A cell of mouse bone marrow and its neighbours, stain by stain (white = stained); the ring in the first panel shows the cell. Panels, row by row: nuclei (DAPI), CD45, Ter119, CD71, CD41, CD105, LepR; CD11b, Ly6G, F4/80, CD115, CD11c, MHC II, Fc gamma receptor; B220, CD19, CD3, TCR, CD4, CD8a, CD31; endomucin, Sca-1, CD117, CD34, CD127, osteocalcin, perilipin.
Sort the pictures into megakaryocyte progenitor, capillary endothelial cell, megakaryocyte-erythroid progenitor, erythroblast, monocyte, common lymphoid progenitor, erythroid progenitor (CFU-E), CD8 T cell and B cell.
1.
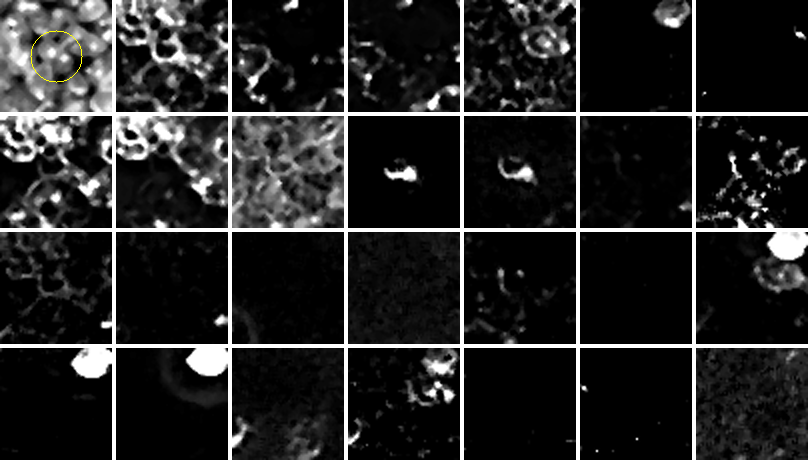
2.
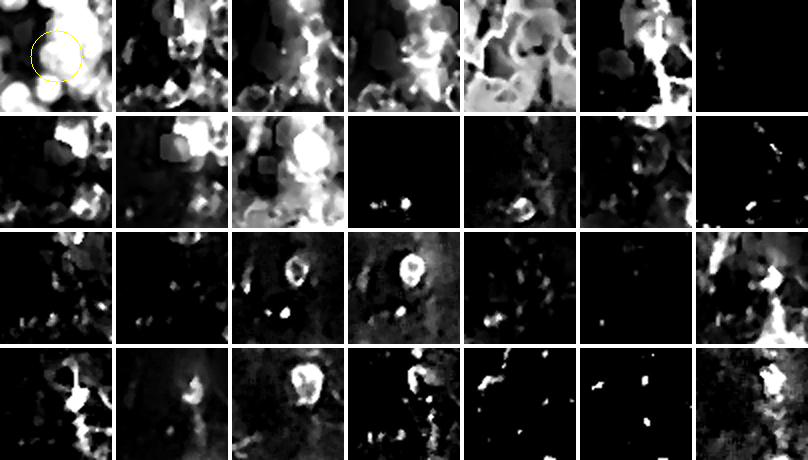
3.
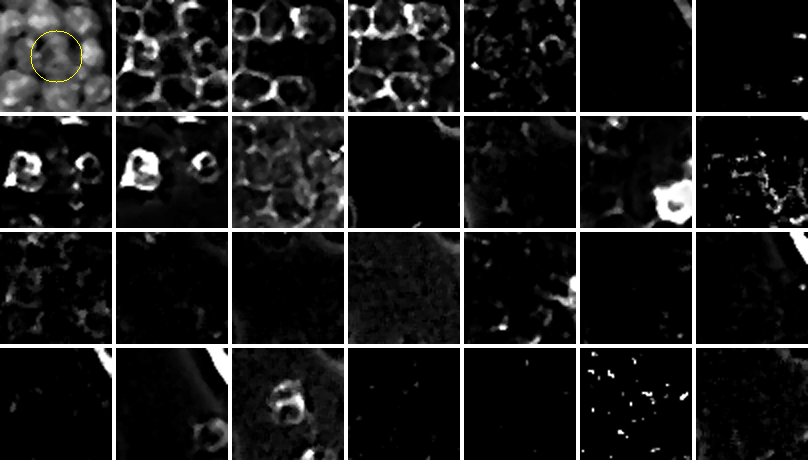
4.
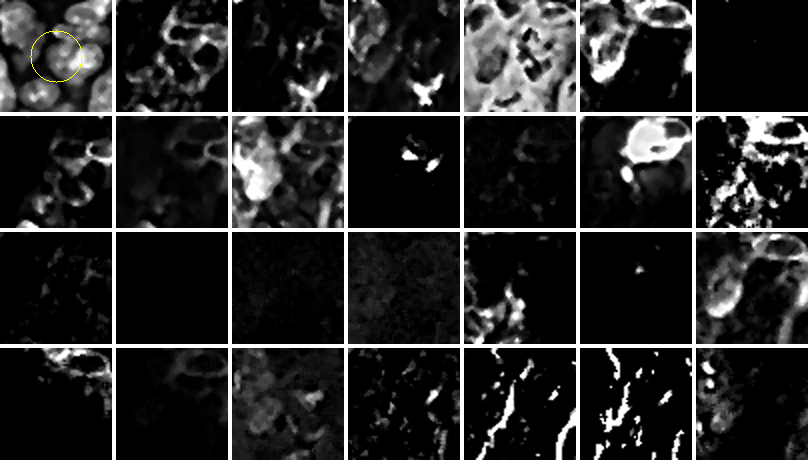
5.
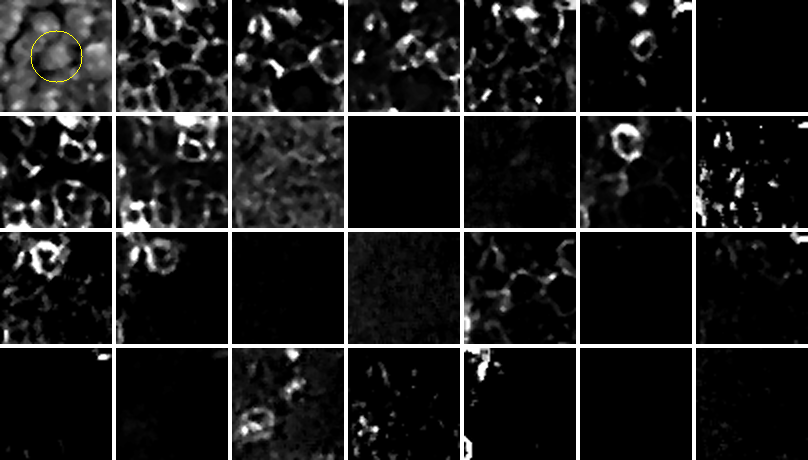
Monocytes: 1
Capillary endothelial cells: 2
Megakaryocyte-erythroid progenitors: 3
Common lymphoid progenitors: 4
Erythroblasts: 5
